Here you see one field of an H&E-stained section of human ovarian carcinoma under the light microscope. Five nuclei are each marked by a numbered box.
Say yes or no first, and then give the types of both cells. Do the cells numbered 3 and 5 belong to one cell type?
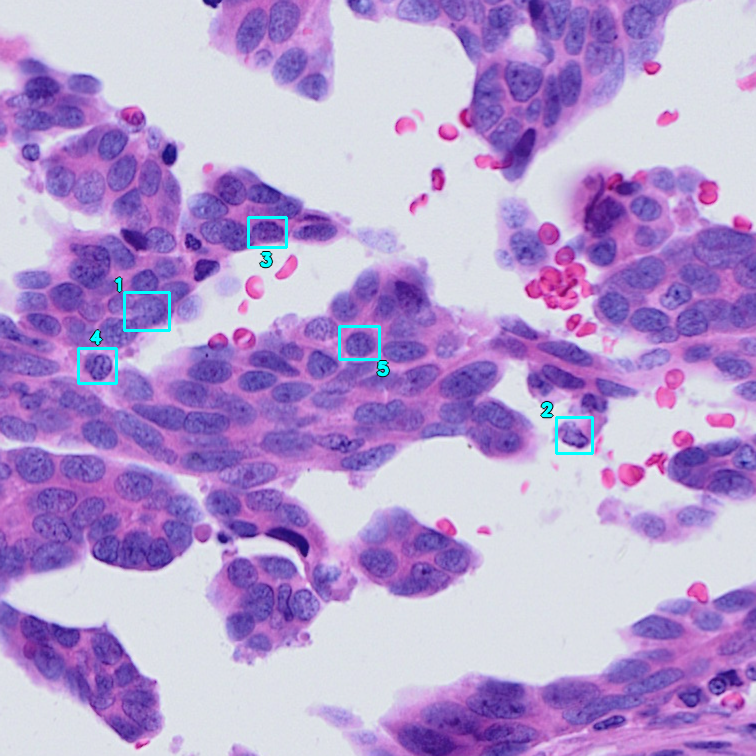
Yes, both are carcinoma cells.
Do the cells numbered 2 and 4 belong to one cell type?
Yes, both are macrophages or monocytes.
